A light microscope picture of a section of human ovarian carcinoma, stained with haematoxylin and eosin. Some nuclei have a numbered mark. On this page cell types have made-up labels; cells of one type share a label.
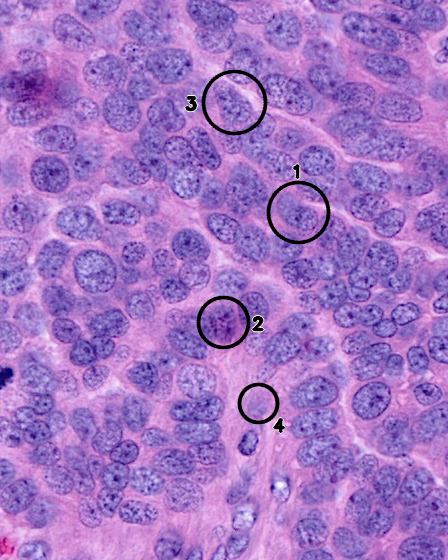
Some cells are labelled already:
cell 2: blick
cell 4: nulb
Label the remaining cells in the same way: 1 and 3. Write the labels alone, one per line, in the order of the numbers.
blick
blick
